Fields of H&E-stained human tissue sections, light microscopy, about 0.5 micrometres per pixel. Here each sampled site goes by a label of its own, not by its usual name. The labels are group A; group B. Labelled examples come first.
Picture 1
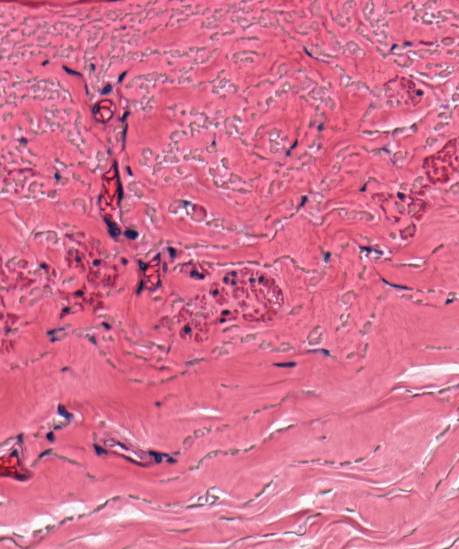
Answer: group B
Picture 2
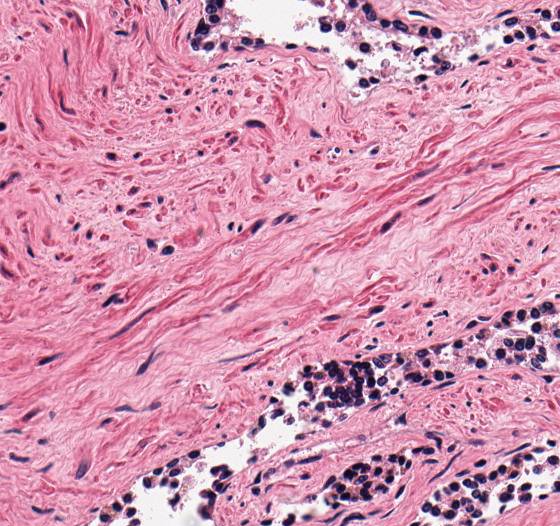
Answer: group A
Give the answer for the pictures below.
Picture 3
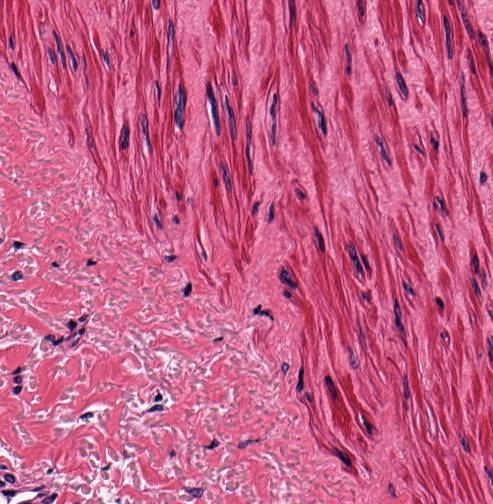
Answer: group B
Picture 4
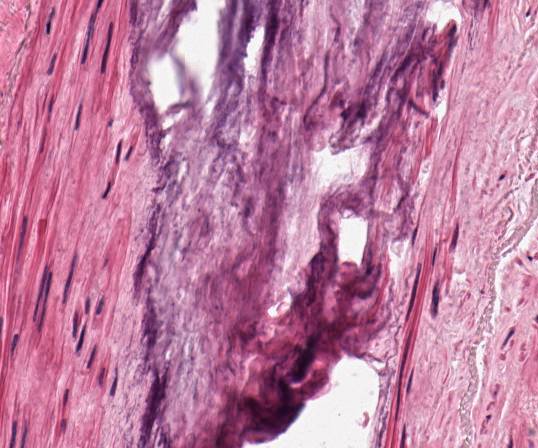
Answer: group B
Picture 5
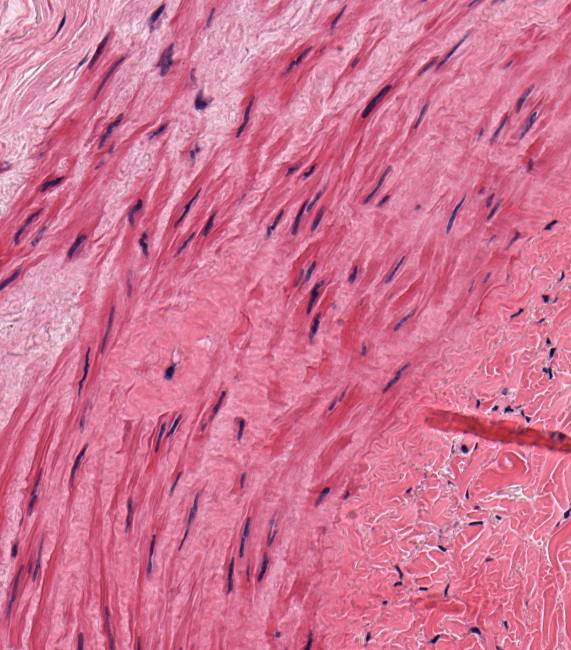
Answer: group B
